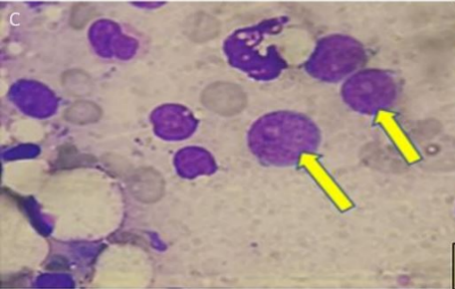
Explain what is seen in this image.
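This bone marrow aspirate smear shows blasts among other marrow cells. The nucleus takes up most of the cell, leaving only a narrow rim of pale bluish cytoplasm, so the nuclear-to-cytoplasmic ratio is high. Smaller cells with dense, darker nuclei lie nearby, and a cell with a lobed, clumped nucleus sits above them.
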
